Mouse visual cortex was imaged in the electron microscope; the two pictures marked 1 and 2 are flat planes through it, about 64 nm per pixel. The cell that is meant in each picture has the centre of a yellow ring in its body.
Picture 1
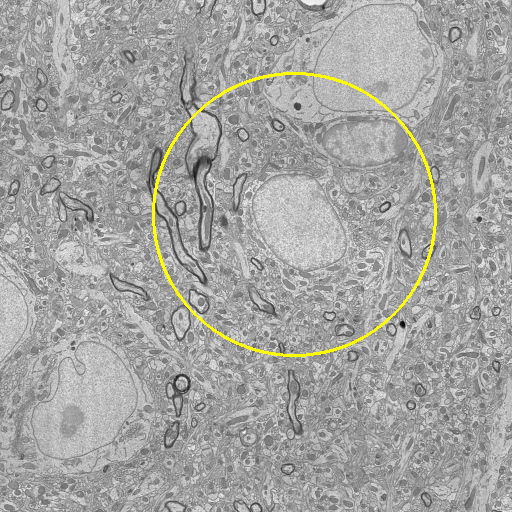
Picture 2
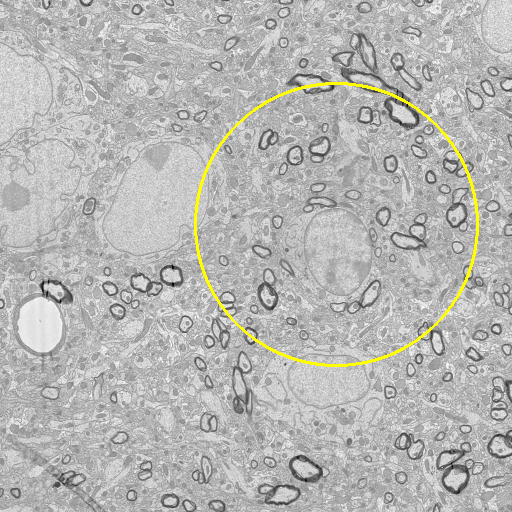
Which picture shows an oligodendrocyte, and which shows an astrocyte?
Picture 1 shows an astrocyte and picture 2 shows an oligodendrocyte.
